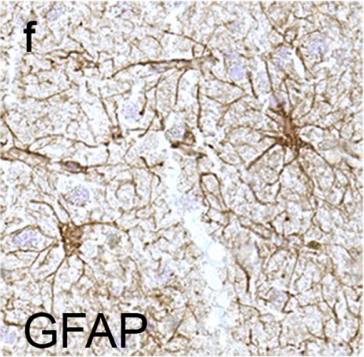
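Brown-stained astrocytes are scattered through the neural tissue, each with a compact cell body from which many fine processes radiate in a star-like pattern. Pale blue nuclei of other cells lie between the stained processes. A narrow pale cleft runs vertically through the middle of the field.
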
